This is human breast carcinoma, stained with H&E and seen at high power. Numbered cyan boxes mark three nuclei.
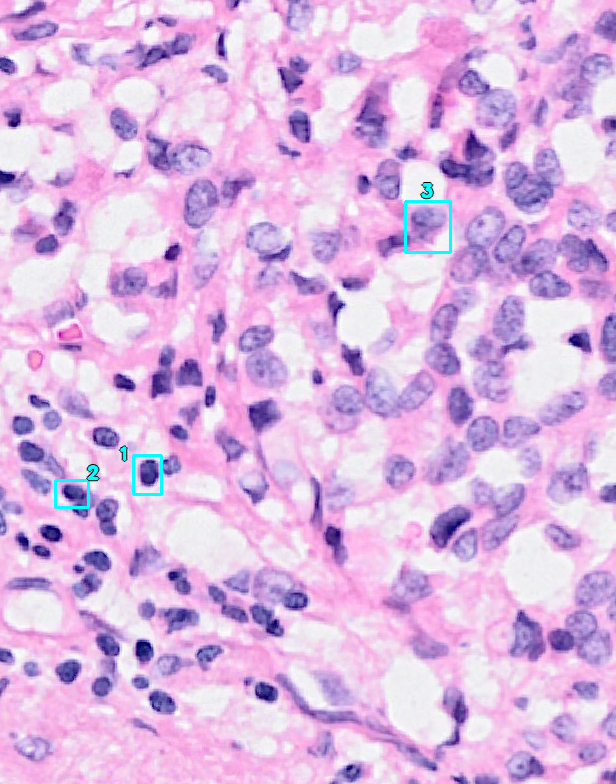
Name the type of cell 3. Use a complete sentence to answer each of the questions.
That cell with number 3 is a carcinoma cell.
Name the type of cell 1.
The cell carrying label 1 is identified as a lymphocyte.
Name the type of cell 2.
The cell whose nucleus carries the number 2 is a lymphocyte.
